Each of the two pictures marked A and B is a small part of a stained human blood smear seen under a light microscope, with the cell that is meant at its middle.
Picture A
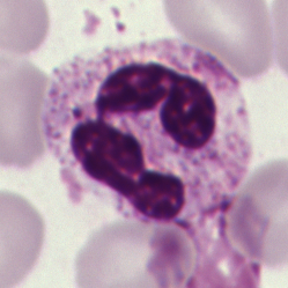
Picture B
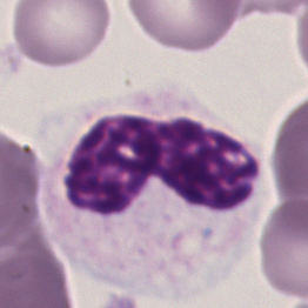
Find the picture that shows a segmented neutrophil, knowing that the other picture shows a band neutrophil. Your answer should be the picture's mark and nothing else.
A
